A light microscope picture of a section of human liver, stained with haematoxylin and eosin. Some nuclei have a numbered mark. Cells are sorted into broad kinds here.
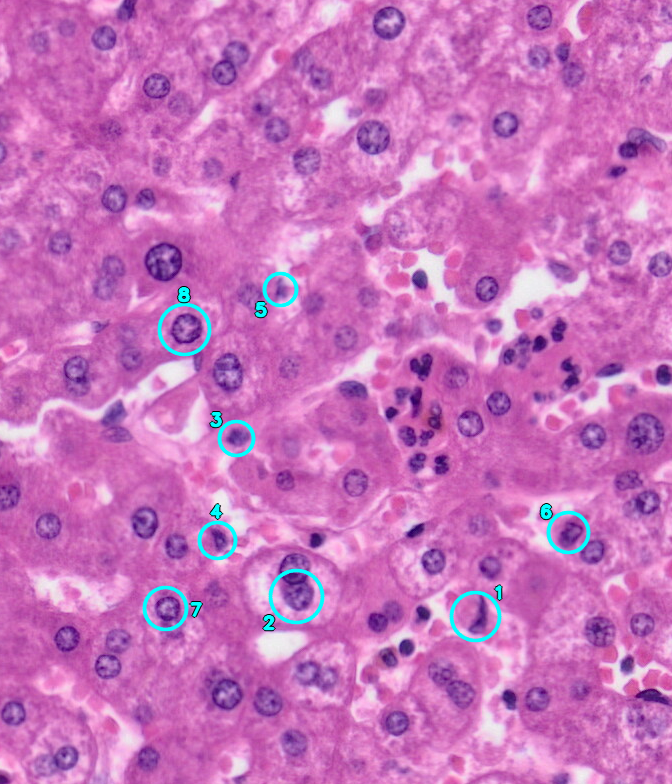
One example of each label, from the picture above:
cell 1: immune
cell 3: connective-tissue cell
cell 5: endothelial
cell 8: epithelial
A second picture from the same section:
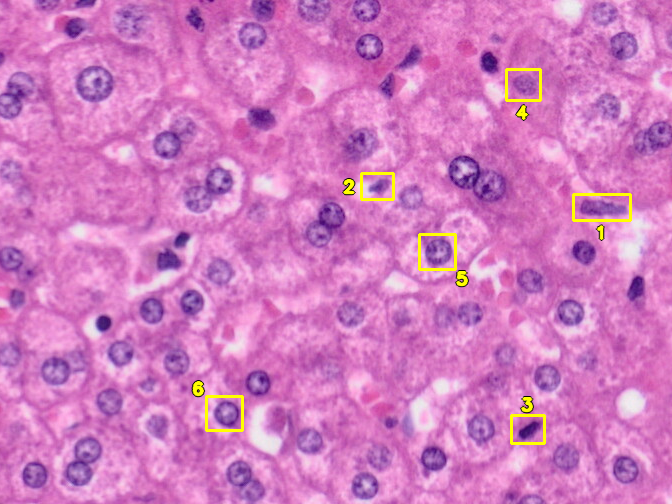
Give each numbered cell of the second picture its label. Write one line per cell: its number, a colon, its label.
1: immune
2: endothelial
3: connective-tissue cell
4: epithelial
5: epithelial
6: epithelial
